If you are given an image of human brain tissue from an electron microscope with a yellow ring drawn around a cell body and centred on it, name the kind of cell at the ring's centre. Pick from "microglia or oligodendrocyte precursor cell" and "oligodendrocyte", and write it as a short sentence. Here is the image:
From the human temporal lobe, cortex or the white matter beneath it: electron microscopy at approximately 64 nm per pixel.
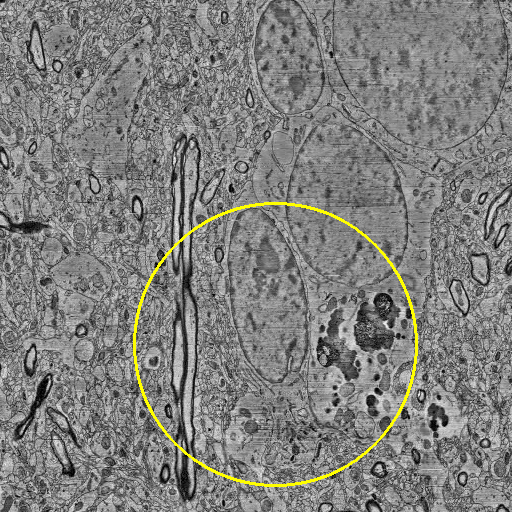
The cell at the ring's centre is a microglial cell or oligodendrocyte precursor cell.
